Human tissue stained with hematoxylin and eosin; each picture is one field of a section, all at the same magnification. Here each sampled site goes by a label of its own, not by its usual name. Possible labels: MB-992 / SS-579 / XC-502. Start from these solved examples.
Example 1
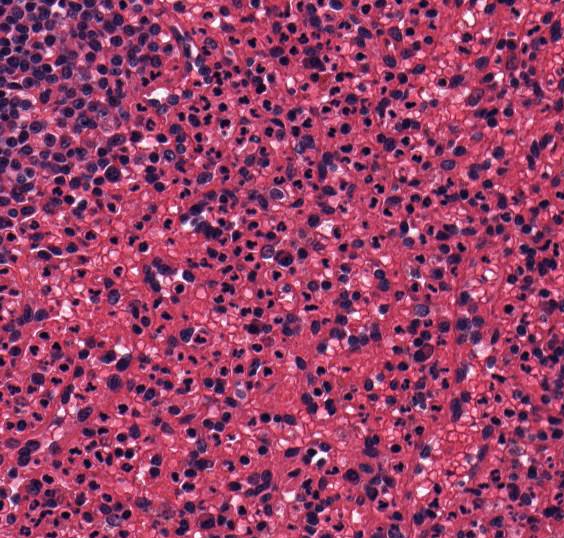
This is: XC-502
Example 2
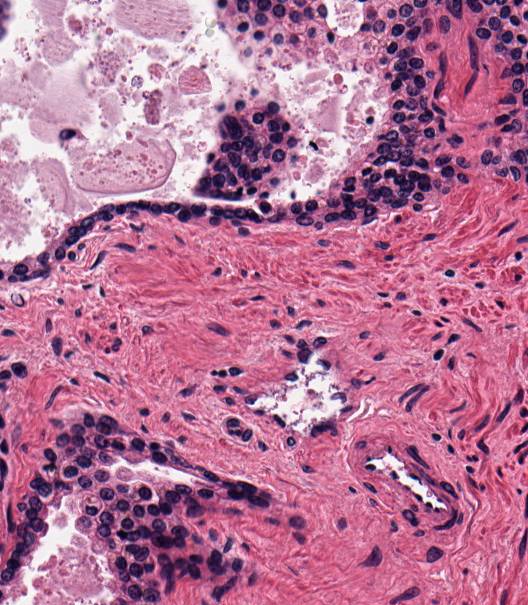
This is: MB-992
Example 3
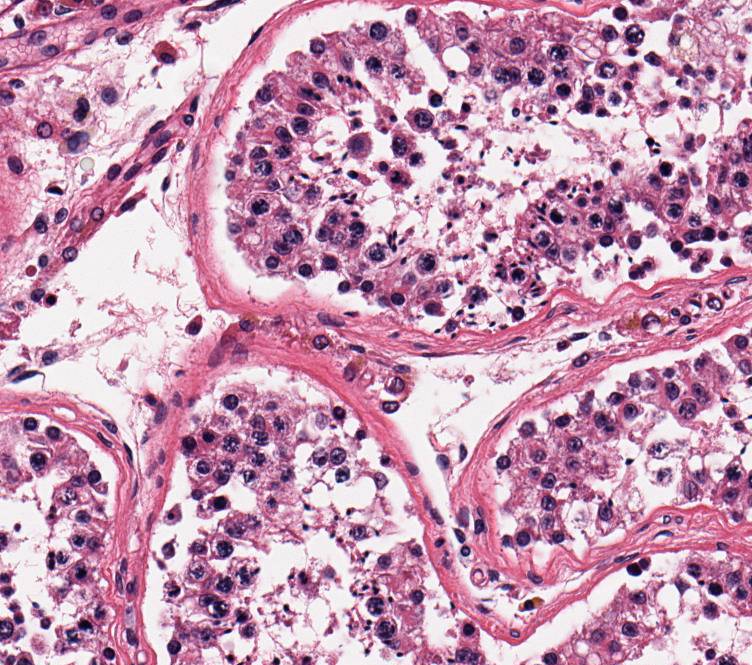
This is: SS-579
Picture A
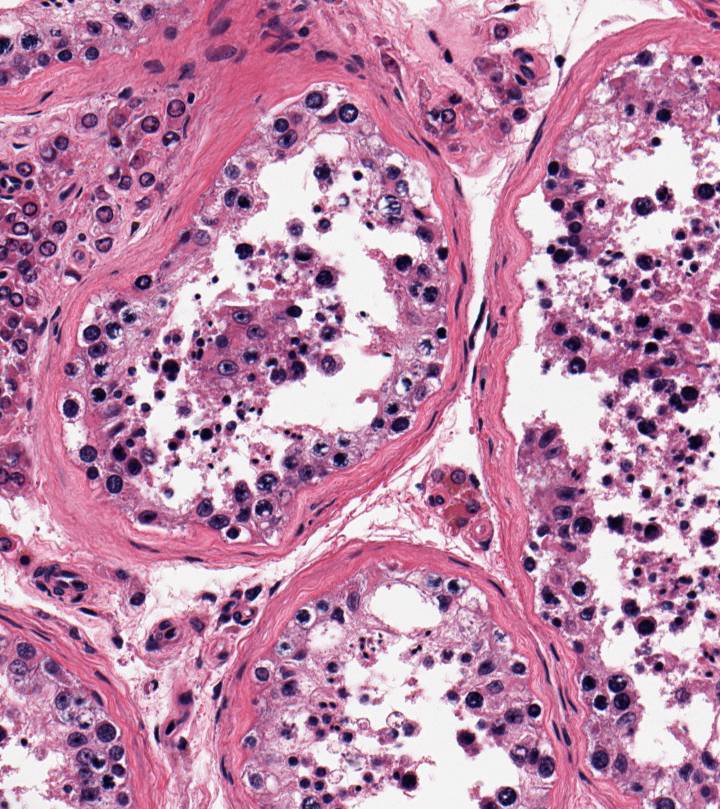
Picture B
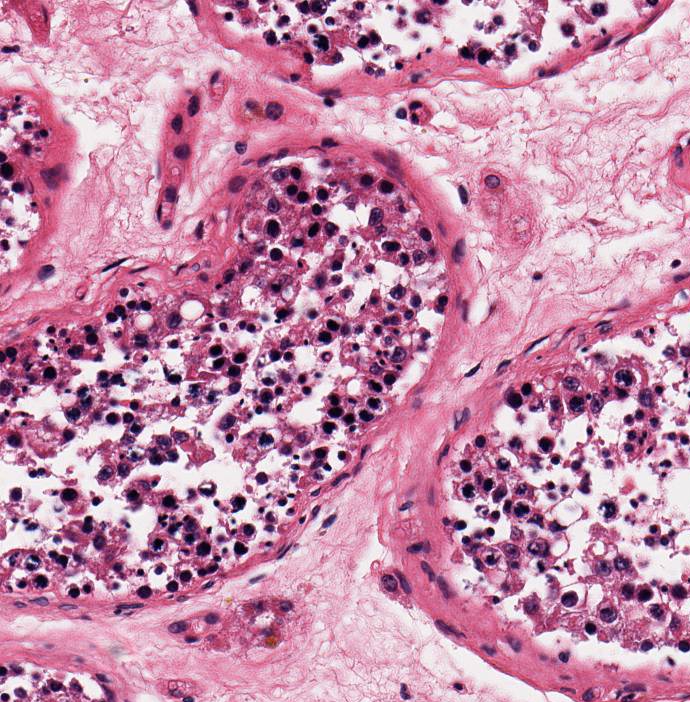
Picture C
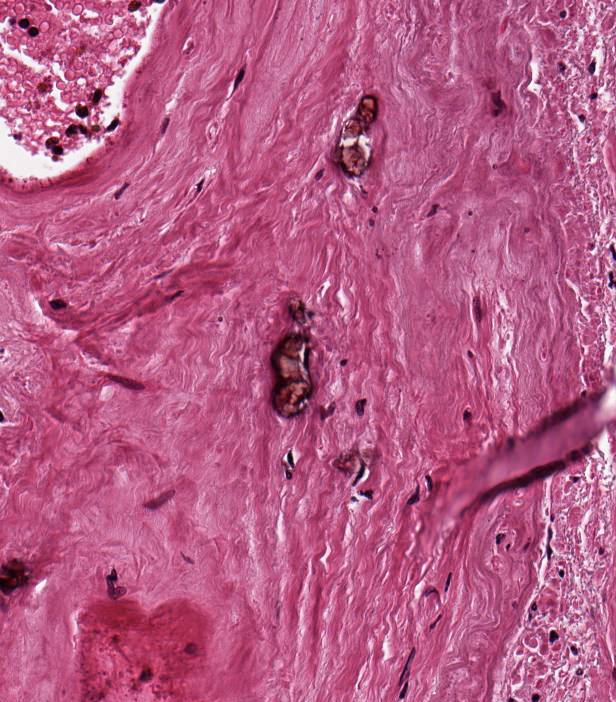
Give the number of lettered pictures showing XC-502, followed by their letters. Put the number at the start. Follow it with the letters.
1, namely C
